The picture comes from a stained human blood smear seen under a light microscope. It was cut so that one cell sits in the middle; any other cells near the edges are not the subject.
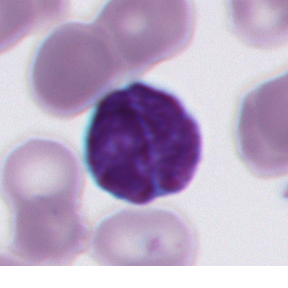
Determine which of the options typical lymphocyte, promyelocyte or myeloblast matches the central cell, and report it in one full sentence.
This crop has a typical lymphocyte at its centre.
